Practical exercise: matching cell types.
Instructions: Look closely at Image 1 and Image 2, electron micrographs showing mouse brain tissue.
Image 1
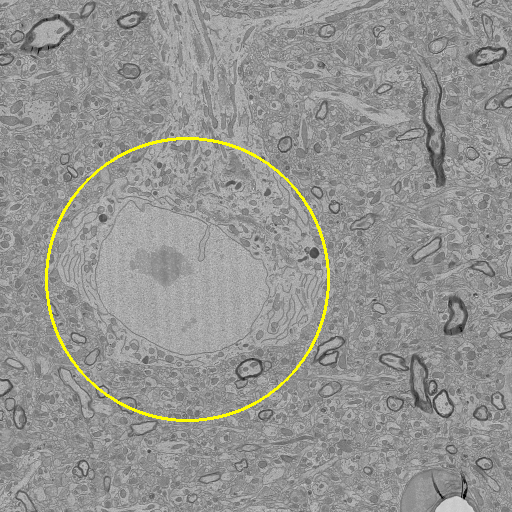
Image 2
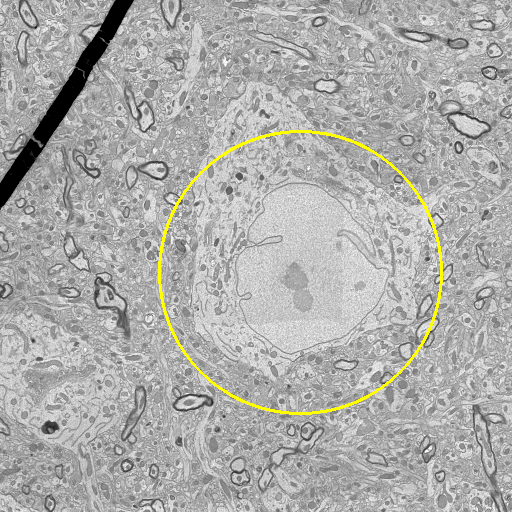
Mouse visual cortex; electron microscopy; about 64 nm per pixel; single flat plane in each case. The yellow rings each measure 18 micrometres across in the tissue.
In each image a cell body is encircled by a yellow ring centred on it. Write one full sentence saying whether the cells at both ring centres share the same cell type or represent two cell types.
Across Image 1 and Image 2, the cells at the ring centres share the same cell type.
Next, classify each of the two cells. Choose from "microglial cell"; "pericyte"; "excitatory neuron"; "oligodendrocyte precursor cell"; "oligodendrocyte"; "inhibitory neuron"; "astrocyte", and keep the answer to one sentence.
Each one of the two ringed cells is an excitatory neuron.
